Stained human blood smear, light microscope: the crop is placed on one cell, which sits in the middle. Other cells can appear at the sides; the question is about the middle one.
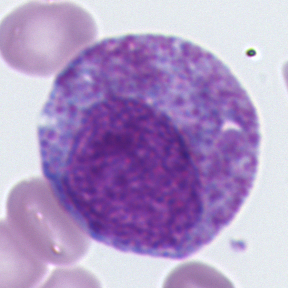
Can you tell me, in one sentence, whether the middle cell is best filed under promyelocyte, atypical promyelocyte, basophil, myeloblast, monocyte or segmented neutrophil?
The cell of interest, in the center, is a promyelocyte.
